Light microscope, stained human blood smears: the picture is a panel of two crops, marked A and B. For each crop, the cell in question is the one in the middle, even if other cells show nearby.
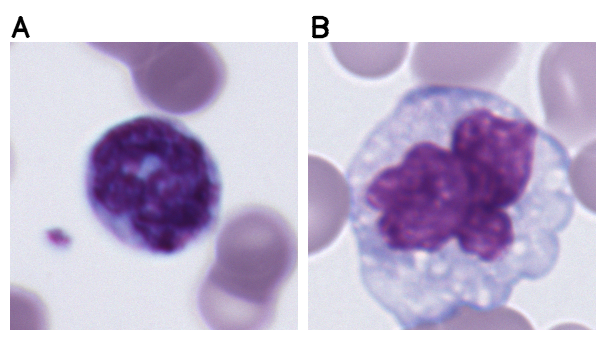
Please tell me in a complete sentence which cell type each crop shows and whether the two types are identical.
Yes, both the first crop and the second crop show monocytes.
